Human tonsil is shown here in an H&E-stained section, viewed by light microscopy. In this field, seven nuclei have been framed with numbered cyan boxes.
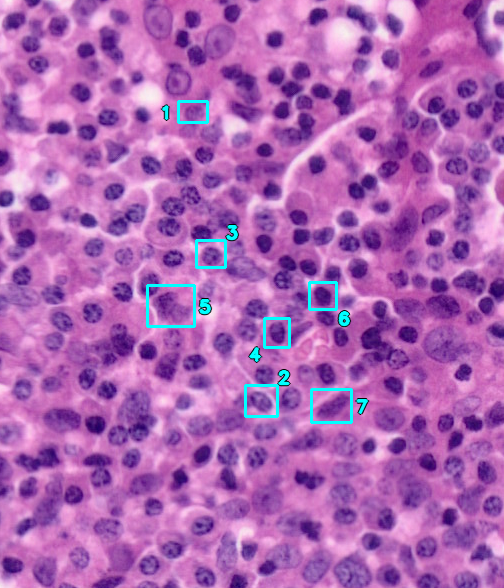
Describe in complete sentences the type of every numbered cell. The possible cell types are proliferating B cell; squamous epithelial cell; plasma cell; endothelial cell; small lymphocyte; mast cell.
Cells 1, 5 and 7 are squamous epithelial cells. Cells 2, 3, 4 and 6 are plasma cells.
